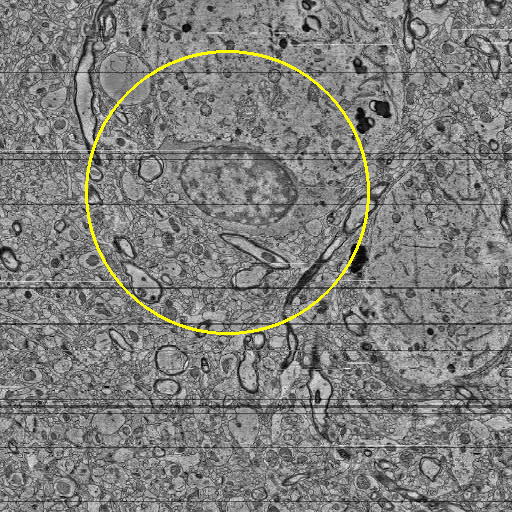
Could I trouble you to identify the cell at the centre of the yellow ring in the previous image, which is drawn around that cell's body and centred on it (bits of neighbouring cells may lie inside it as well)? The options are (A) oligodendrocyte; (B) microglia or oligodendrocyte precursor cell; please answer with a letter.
A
